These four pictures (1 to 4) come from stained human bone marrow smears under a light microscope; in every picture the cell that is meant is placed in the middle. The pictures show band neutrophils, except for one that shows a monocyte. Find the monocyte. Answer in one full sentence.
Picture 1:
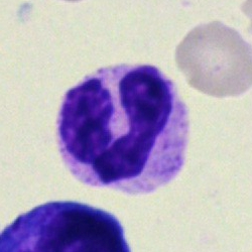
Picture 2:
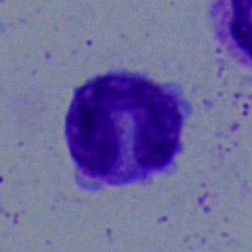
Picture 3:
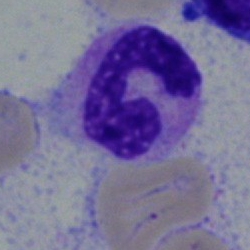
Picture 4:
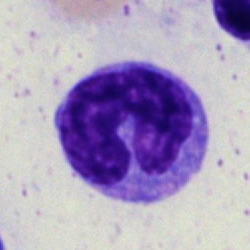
It is picture 4 that shows the monocyte.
